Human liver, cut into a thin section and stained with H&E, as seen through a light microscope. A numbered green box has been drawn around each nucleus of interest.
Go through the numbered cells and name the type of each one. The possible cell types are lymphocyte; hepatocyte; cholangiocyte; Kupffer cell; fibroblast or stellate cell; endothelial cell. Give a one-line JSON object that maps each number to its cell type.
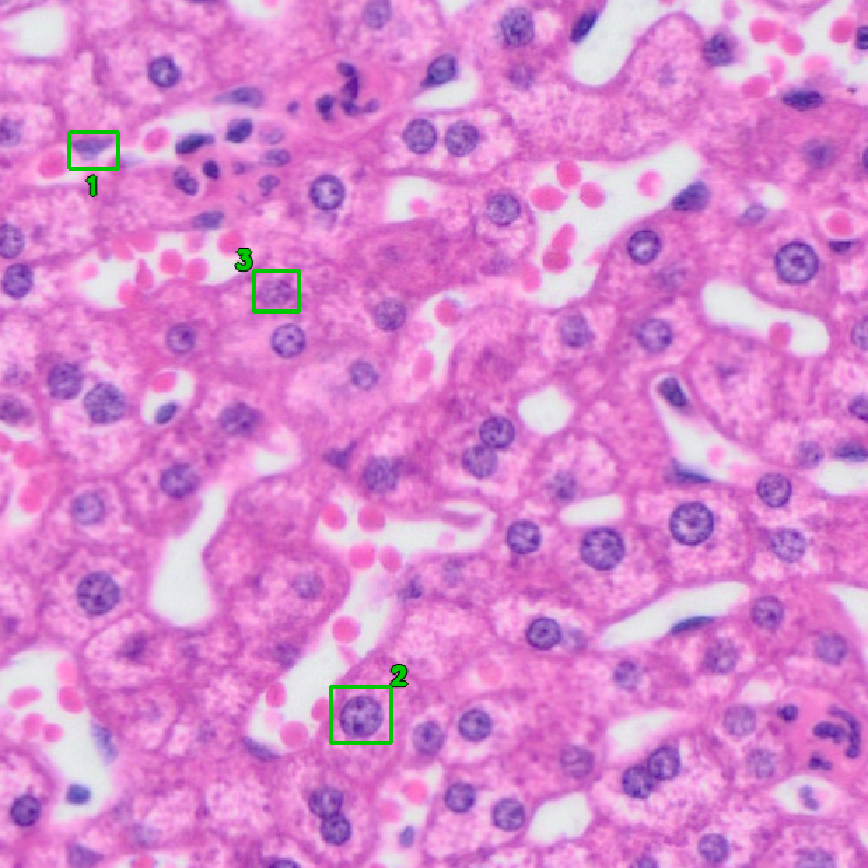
{"1": "endothelial cell", "2": "hepatocyte", "3": "hepatocyte"}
